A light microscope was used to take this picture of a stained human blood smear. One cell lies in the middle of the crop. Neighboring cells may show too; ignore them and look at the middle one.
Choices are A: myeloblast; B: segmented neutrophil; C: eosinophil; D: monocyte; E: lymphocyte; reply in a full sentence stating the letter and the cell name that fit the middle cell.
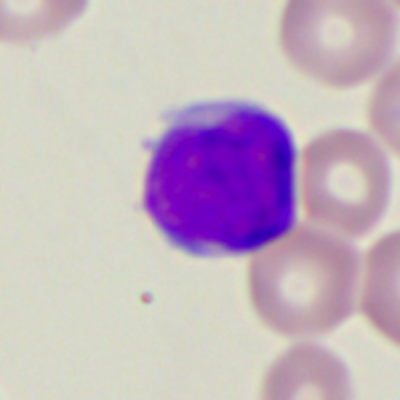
The best answer is option A, since the cell in the middle is a myeloblast.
